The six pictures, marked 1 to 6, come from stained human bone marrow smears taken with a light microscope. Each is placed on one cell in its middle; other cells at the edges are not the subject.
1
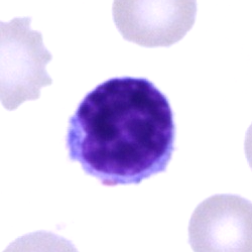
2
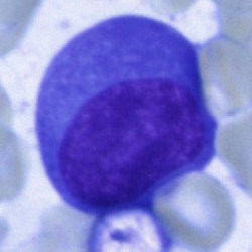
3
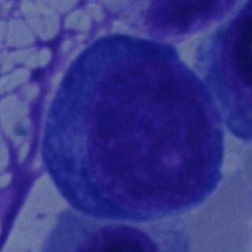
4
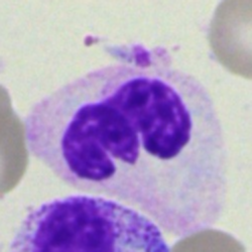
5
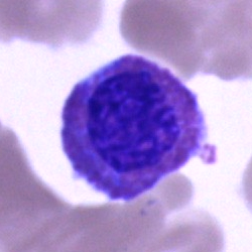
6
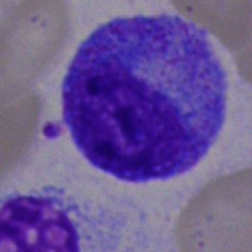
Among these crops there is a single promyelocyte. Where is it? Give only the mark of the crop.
6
